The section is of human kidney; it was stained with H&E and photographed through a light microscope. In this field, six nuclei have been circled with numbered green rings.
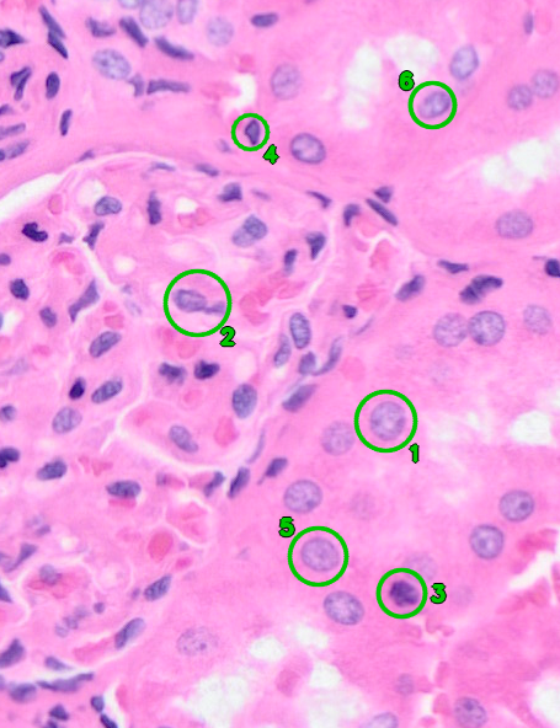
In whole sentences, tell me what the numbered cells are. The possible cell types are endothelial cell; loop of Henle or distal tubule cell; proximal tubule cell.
Cells 1, 3, 5 and 6 are proximal tubule cells. Cells 2 and 4 are endothelial cells.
